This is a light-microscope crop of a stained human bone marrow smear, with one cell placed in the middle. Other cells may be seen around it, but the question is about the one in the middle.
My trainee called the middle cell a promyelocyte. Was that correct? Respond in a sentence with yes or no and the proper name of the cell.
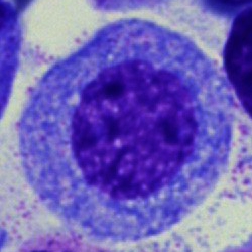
Yes, the middle cell here is a promyelocyte.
